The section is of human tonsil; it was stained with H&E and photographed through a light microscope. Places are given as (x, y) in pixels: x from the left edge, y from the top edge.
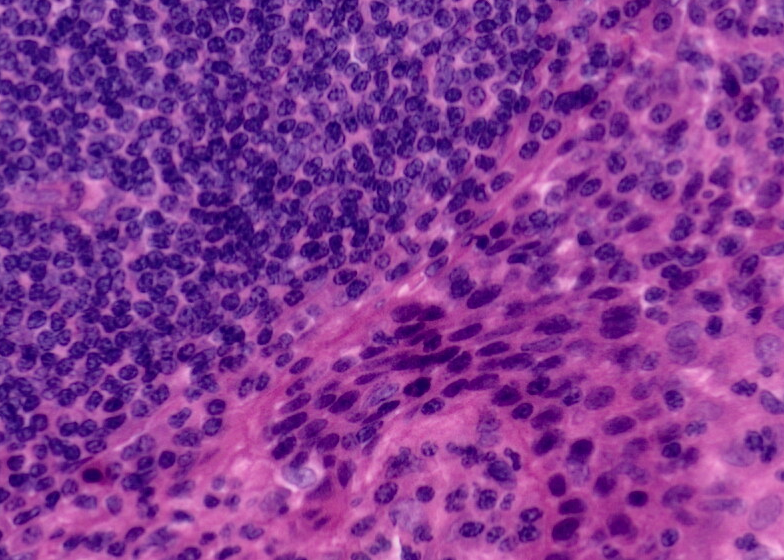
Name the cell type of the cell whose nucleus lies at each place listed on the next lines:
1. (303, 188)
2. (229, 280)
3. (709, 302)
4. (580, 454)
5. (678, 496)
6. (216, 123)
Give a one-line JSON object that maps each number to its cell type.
{"1": "small lymphocyte", "2": "small lymphocyte", "3": "squamous epithelial cell", "4": "squamous epithelial cell", "5": "squamous epithelial cell", "6": "small lymphocyte"}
